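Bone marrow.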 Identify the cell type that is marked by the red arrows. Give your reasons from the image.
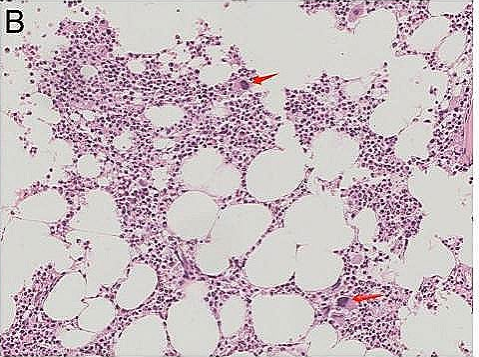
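The marked cells are much larger than the surrounding marrow cells. They lie among small hematopoietic cells between round fat spaces.
Conclusion: megakaryocytes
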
